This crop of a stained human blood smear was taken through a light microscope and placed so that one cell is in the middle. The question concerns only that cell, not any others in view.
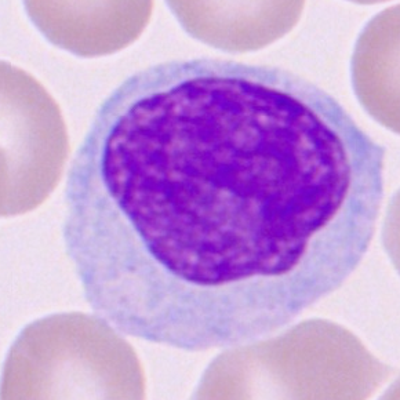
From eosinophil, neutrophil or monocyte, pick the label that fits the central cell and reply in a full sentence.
In this smear crop, the middle cell is a monocyte.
